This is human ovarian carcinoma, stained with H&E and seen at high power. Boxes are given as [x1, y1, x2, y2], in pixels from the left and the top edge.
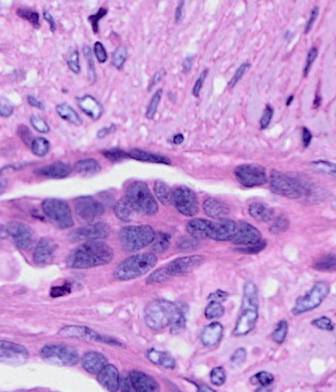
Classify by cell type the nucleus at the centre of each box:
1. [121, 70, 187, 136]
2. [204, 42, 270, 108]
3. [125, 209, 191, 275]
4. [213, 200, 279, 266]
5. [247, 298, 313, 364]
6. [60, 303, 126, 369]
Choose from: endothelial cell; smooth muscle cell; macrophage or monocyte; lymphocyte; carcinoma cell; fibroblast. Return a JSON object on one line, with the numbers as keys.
{"1": "fibroblast", "2": "fibroblast", "3": "carcinoma cell", "4": "carcinoma cell", "5": "fibroblast", "6": "fibroblast"}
